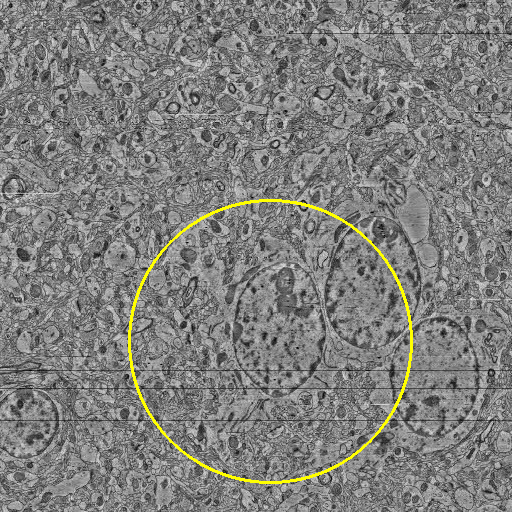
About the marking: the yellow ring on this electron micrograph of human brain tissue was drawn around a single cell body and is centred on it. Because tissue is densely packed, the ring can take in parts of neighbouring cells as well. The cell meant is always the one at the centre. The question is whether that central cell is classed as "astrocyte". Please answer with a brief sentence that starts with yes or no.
Yes, the central cell is classed that way.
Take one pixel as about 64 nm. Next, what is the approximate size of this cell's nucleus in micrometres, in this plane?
In this plane the nucleus spans approximately 9 by 6 micrometers.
